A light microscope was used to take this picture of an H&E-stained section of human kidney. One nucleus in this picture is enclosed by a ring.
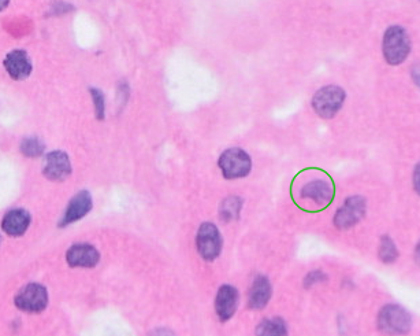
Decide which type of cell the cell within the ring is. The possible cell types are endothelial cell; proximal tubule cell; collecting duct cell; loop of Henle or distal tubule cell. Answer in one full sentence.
The identity of the cell within the ring: it is a proximal tubule cell.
